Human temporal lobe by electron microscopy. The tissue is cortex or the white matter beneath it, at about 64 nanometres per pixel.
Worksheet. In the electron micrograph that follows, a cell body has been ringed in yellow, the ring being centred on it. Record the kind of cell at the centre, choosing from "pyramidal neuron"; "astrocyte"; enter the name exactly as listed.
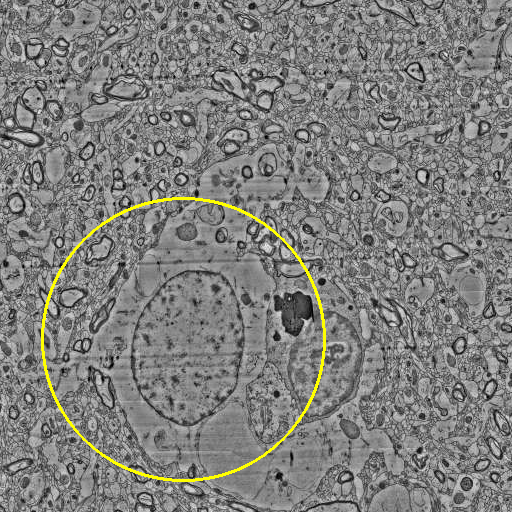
astrocyte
